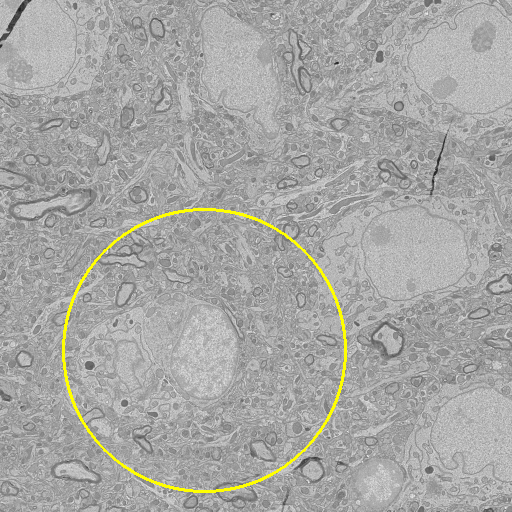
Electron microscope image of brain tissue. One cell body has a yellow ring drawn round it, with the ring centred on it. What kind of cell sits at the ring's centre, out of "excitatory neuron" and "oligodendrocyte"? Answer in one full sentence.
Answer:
It is an oligodendrocyte whose cell body sits at the centre of the yellow ring.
